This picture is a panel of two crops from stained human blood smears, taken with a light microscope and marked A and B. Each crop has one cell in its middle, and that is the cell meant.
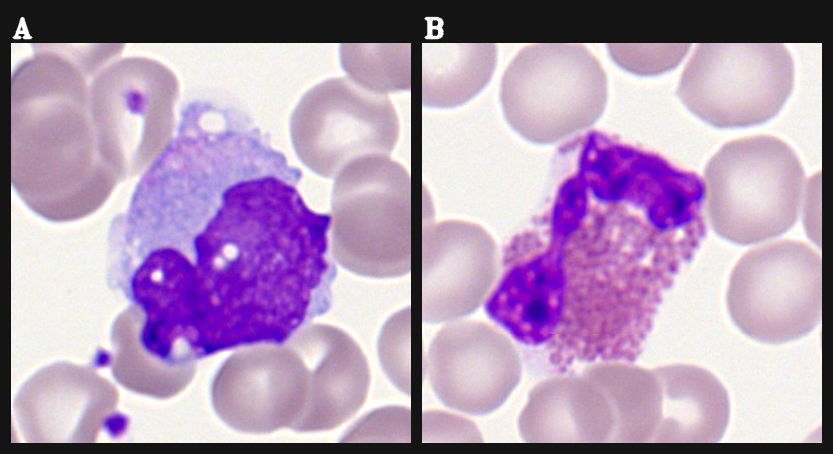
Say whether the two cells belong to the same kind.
no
